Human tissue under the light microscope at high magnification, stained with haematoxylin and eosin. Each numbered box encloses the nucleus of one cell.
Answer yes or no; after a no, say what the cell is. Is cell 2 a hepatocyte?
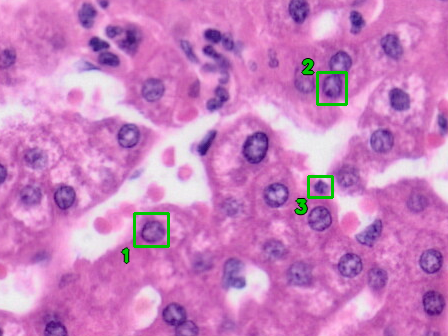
Yes.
